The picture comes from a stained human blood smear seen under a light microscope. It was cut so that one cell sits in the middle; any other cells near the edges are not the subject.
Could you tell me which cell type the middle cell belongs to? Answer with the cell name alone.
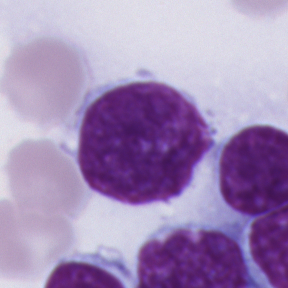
myeloblast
